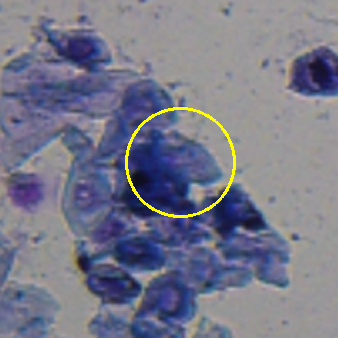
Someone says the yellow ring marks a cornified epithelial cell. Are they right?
They are right: it is a cornified epithelial cell.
